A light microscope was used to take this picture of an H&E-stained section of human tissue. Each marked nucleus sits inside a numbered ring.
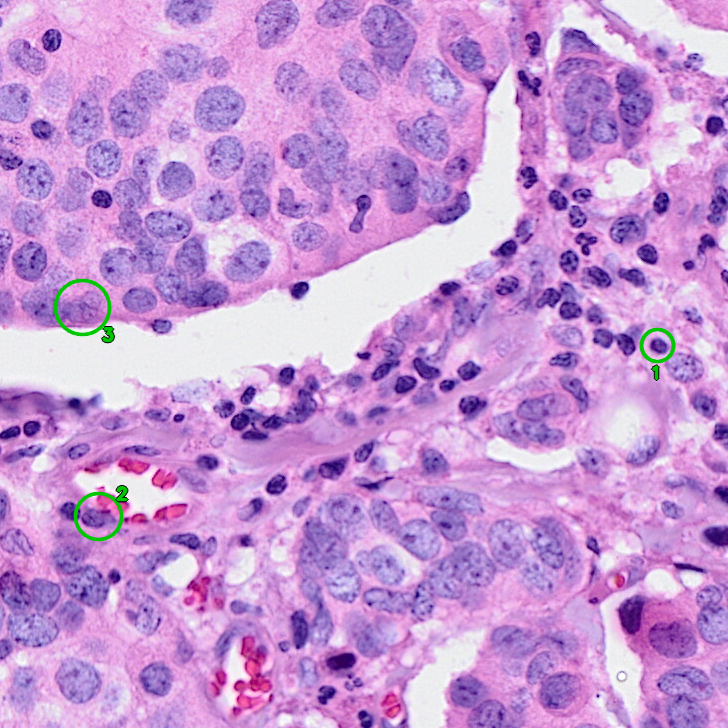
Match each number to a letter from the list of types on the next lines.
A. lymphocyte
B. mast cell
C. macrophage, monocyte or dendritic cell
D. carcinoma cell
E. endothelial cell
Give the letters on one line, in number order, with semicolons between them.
A; E; D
